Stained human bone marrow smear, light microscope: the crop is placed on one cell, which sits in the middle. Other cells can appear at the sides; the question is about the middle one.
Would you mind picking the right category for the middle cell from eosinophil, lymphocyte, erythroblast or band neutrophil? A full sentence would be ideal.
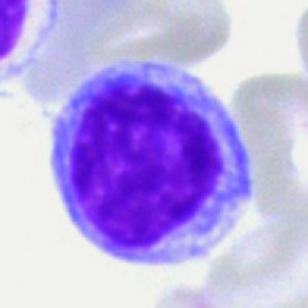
The central cell in this smear crop is a lymphocyte.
